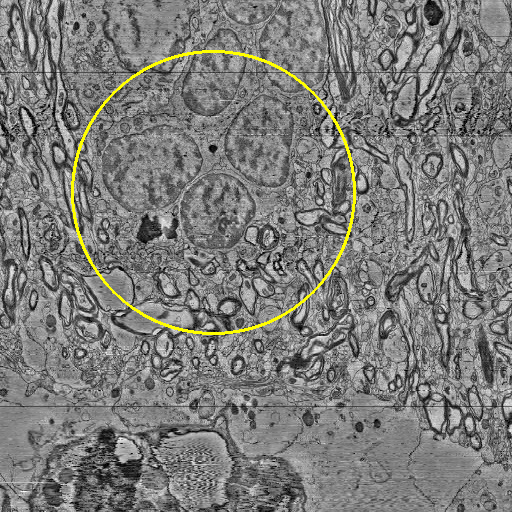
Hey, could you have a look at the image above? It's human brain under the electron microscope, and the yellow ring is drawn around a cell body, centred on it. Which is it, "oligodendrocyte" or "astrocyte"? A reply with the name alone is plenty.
oligodendrocyte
